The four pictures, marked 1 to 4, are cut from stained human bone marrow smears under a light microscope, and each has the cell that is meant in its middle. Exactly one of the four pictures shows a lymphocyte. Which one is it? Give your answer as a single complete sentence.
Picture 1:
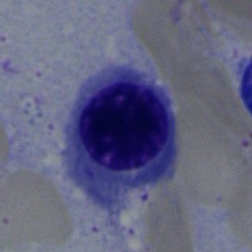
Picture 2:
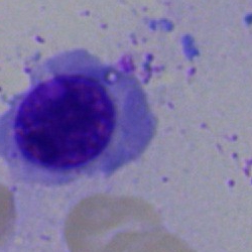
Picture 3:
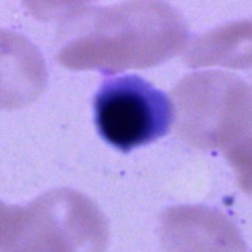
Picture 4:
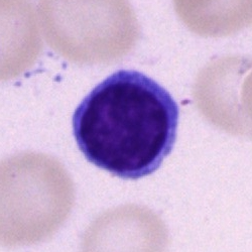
The picture with the lymphocyte is 4.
